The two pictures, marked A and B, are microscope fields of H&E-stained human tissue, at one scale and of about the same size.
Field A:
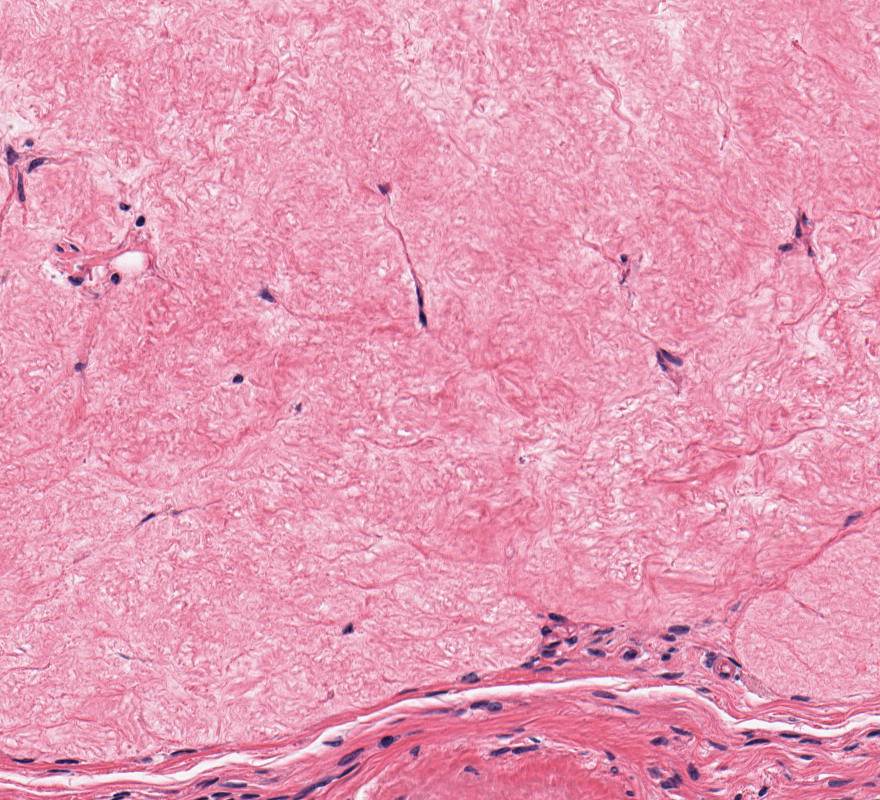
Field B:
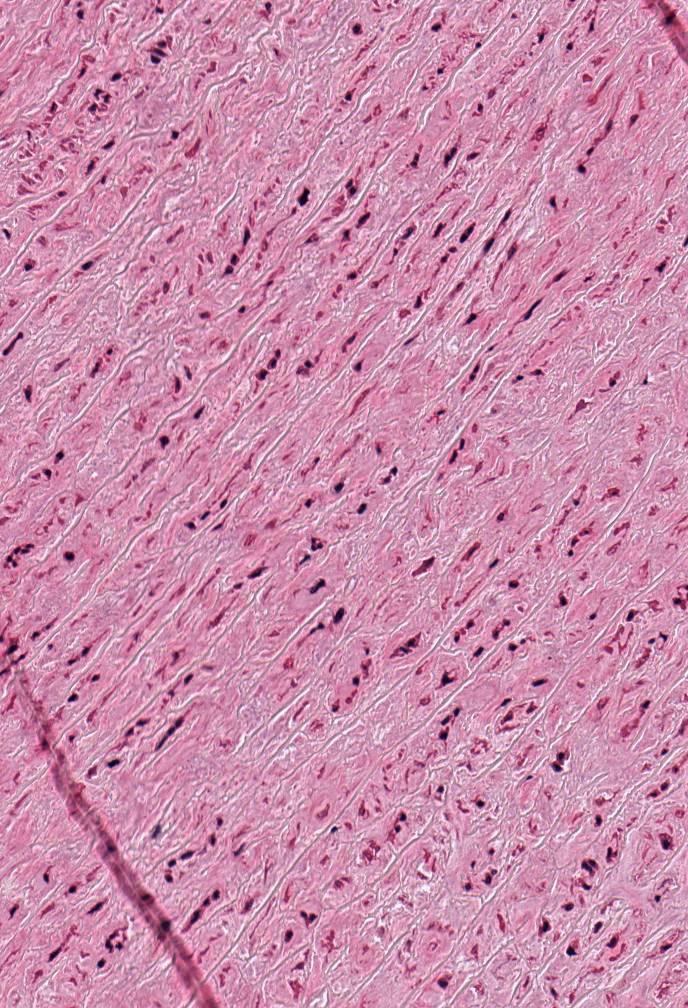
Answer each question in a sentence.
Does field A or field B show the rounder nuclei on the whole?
It is field B whose nuclei are the rounder.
